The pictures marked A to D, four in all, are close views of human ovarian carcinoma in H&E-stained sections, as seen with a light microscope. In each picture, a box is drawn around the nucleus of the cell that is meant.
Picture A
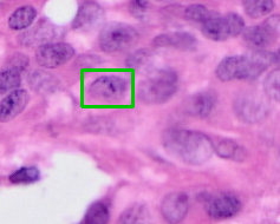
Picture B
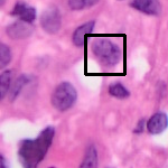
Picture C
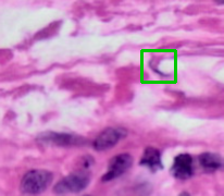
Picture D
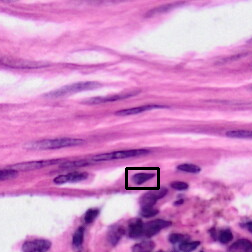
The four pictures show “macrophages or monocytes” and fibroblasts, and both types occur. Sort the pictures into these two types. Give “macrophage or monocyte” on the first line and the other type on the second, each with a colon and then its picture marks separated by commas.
macrophage or monocyte: A, B, D
fibroblast: C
